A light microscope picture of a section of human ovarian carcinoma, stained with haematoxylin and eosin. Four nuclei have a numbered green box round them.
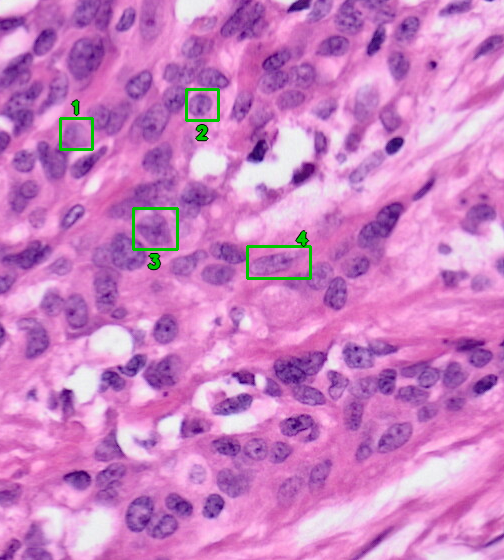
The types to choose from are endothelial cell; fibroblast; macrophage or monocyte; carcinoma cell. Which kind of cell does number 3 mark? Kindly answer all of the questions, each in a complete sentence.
The numbered cell 3 is identified here as a carcinoma cell.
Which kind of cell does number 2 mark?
The marked nucleus 2 is that of a macrophage or monocyte.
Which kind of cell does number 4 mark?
Marked with the number 4, this cell is an endothelial cell.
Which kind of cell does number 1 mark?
In this section, number 1 marks a carcinoma cell.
